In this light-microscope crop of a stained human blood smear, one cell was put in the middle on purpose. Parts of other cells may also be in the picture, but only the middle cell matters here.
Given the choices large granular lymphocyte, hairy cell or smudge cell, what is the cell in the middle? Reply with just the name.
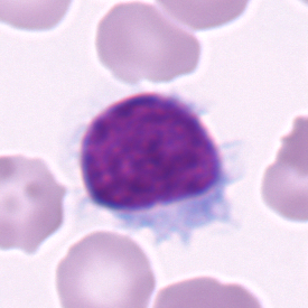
hairy cell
